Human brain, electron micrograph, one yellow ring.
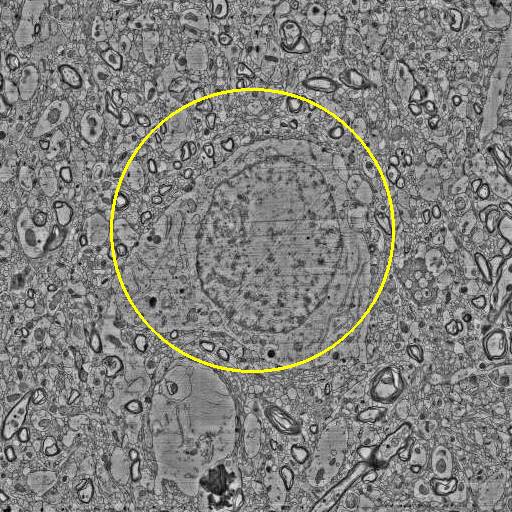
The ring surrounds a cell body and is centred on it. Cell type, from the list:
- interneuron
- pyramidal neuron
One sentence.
The yellow ring circles an interneuron.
